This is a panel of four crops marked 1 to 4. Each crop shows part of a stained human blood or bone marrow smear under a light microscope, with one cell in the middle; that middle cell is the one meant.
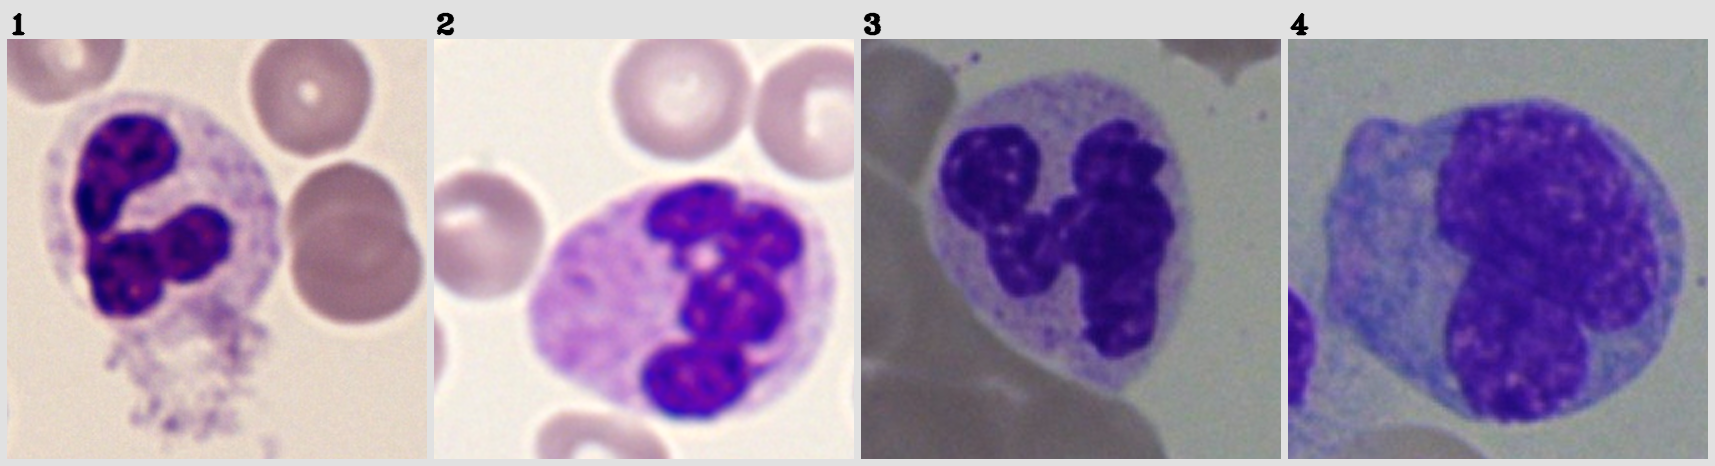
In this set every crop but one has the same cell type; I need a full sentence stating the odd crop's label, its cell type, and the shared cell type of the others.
The cells centred in the other crops are all neutrophils, but crop 4 is a monocyte.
